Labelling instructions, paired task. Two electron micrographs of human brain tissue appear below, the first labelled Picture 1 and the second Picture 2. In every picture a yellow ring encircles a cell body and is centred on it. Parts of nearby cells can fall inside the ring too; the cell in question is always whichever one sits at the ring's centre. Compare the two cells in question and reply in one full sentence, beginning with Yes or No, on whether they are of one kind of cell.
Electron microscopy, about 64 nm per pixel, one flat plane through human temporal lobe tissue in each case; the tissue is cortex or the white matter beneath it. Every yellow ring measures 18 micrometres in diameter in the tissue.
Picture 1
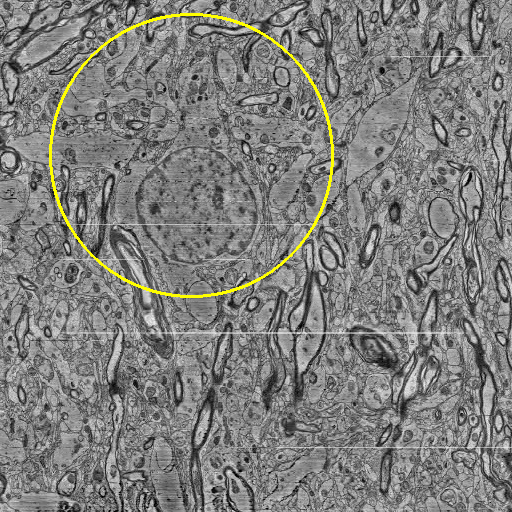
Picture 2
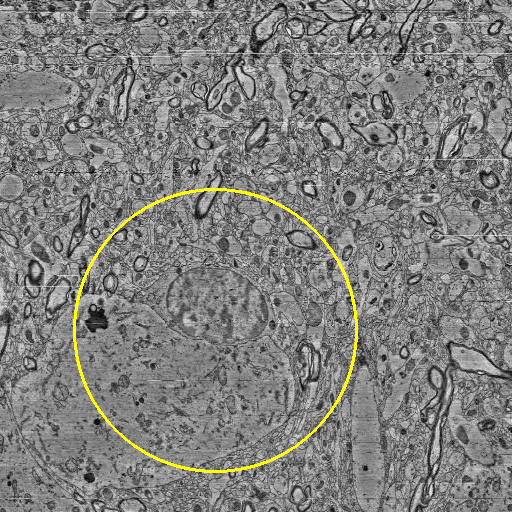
No, the two cells at the ring centres in Picture 1 and Picture 2 are of two kinds.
